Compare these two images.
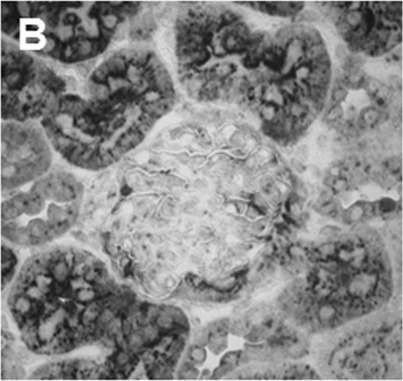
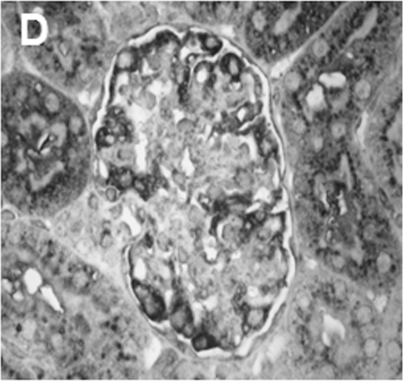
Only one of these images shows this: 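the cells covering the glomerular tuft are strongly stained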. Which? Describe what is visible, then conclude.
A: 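Second image: many dark-stained rounded cells lie along the periphery of the glomerular tuft. First image: the glomerular tuft is pale with only faint staining.
The second image.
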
